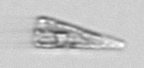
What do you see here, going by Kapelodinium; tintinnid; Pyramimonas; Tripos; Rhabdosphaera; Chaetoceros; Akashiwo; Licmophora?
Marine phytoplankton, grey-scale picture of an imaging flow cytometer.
I see Licmophora.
